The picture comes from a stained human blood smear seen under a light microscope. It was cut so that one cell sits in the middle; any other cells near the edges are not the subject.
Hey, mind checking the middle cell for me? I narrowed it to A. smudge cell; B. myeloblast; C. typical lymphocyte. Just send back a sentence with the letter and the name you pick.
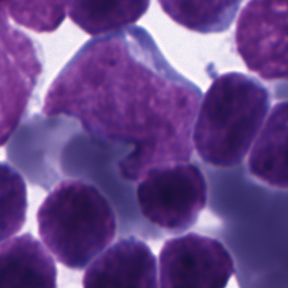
The cell centered in the crop is a myeloblast, making option B the correct pick.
